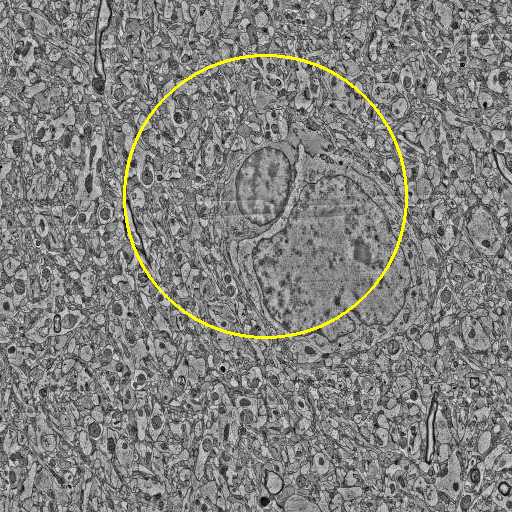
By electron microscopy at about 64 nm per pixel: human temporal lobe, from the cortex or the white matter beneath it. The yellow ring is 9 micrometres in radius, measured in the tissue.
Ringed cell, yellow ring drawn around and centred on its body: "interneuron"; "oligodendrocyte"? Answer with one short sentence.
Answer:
This ringed cell is an oligodendrocyte.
